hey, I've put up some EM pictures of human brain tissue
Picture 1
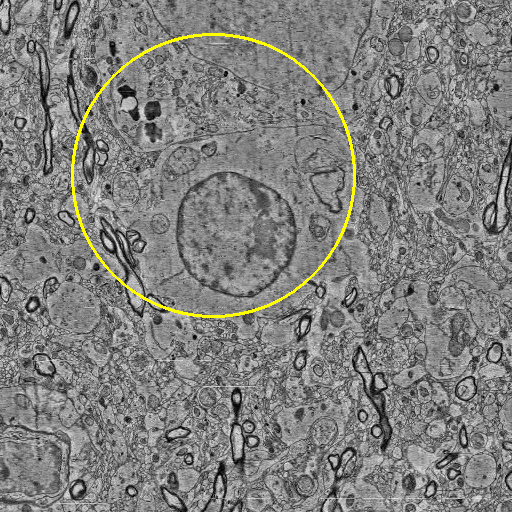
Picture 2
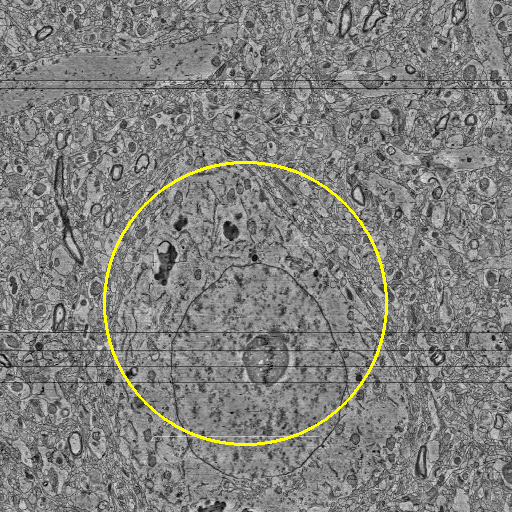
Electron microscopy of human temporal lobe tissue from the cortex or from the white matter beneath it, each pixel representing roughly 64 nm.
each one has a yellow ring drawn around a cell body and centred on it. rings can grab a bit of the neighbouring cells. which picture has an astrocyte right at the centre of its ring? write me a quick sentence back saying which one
It's Picture 1.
